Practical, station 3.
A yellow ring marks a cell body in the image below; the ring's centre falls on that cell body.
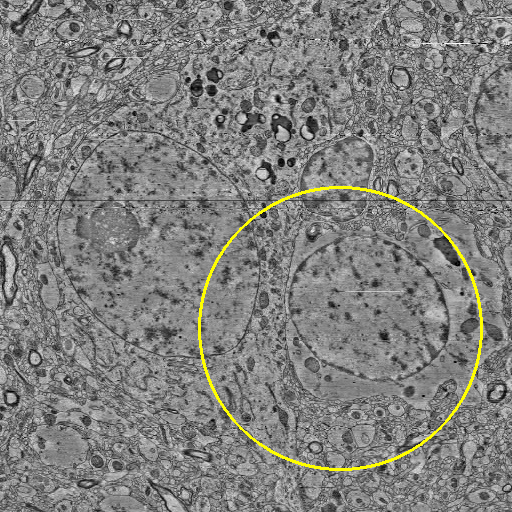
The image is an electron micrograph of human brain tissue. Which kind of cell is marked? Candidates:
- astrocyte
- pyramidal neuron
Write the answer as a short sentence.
The marked cell body is that of an astrocyte.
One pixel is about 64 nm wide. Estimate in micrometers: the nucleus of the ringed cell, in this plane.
In this plane, about 11 micrometres in length and 9 in width.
